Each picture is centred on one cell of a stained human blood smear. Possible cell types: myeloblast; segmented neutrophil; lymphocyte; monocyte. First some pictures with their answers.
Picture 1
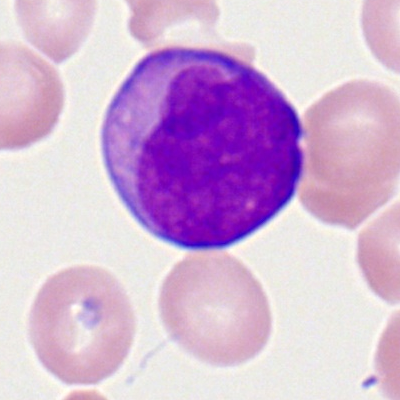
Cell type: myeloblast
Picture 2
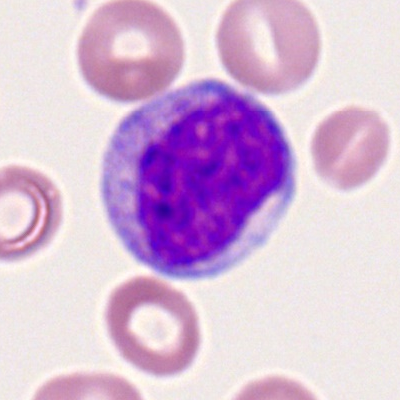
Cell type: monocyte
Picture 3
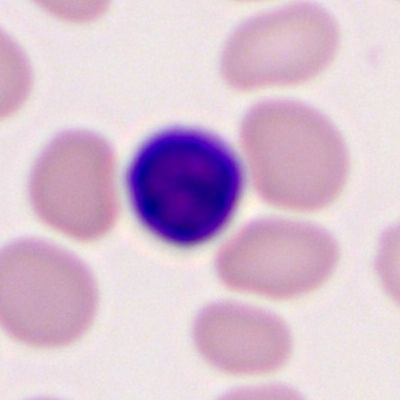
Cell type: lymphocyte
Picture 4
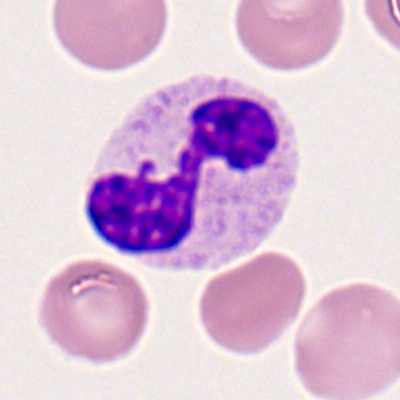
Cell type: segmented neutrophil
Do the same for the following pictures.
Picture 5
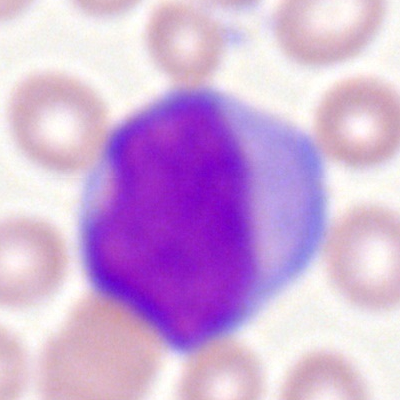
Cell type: myeloblast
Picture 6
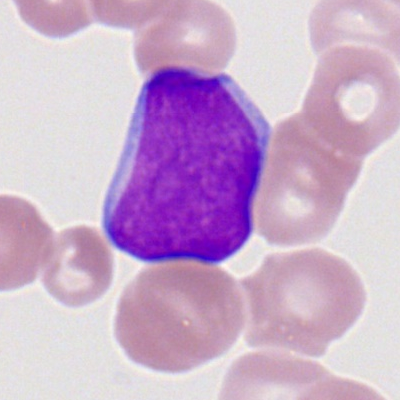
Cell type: myeloblast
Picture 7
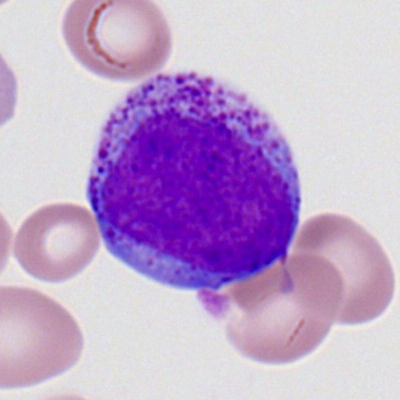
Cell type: myeloblast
